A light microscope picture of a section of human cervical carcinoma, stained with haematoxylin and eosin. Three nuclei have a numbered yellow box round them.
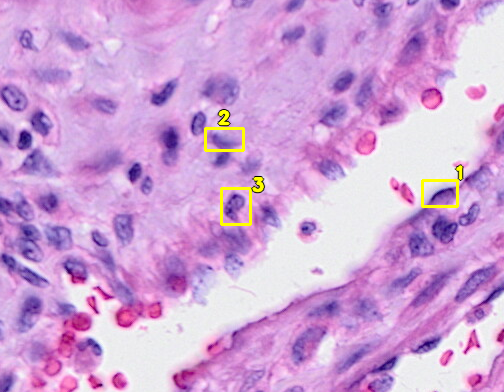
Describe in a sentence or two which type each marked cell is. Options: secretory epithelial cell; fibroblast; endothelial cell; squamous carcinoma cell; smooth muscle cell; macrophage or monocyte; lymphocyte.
Cell 1 is an endothelial cell, cell 2 is a fibroblast and cell 3 is a lymphocyte.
